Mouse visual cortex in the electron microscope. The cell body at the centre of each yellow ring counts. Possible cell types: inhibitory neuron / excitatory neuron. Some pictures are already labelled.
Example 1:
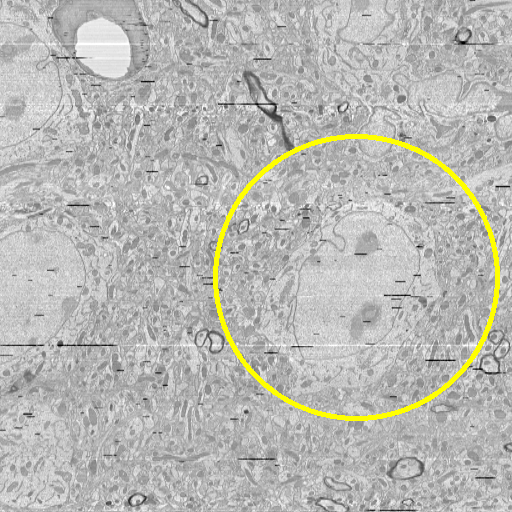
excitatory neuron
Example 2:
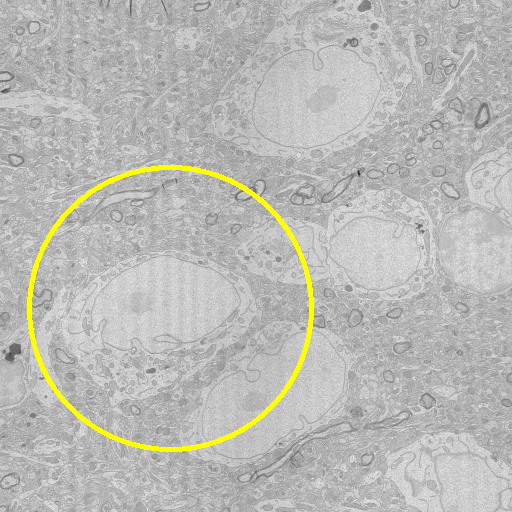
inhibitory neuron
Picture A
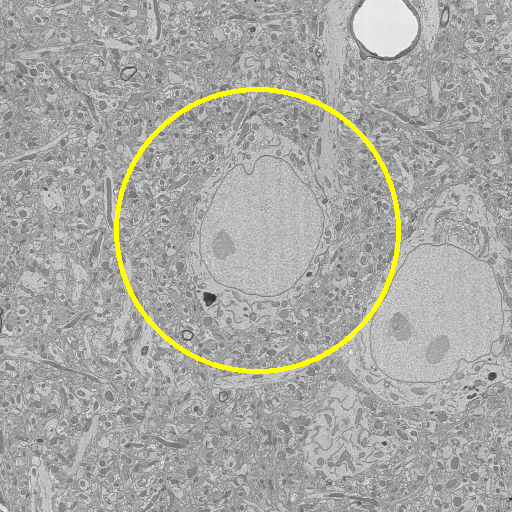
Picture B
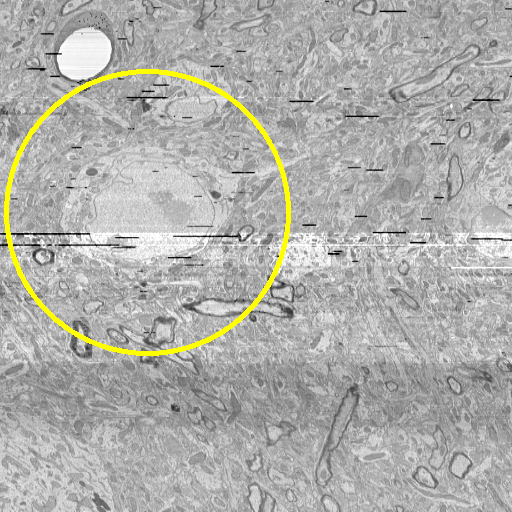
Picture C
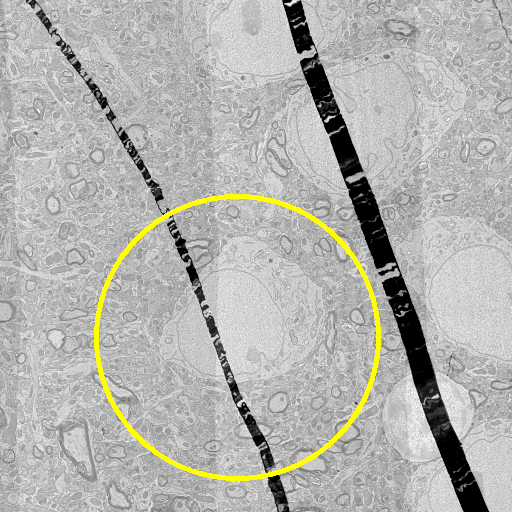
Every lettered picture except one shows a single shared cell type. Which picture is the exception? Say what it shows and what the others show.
Exception: B, showing inhibitory neuron. Remaining pictures: excitatory neuron.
